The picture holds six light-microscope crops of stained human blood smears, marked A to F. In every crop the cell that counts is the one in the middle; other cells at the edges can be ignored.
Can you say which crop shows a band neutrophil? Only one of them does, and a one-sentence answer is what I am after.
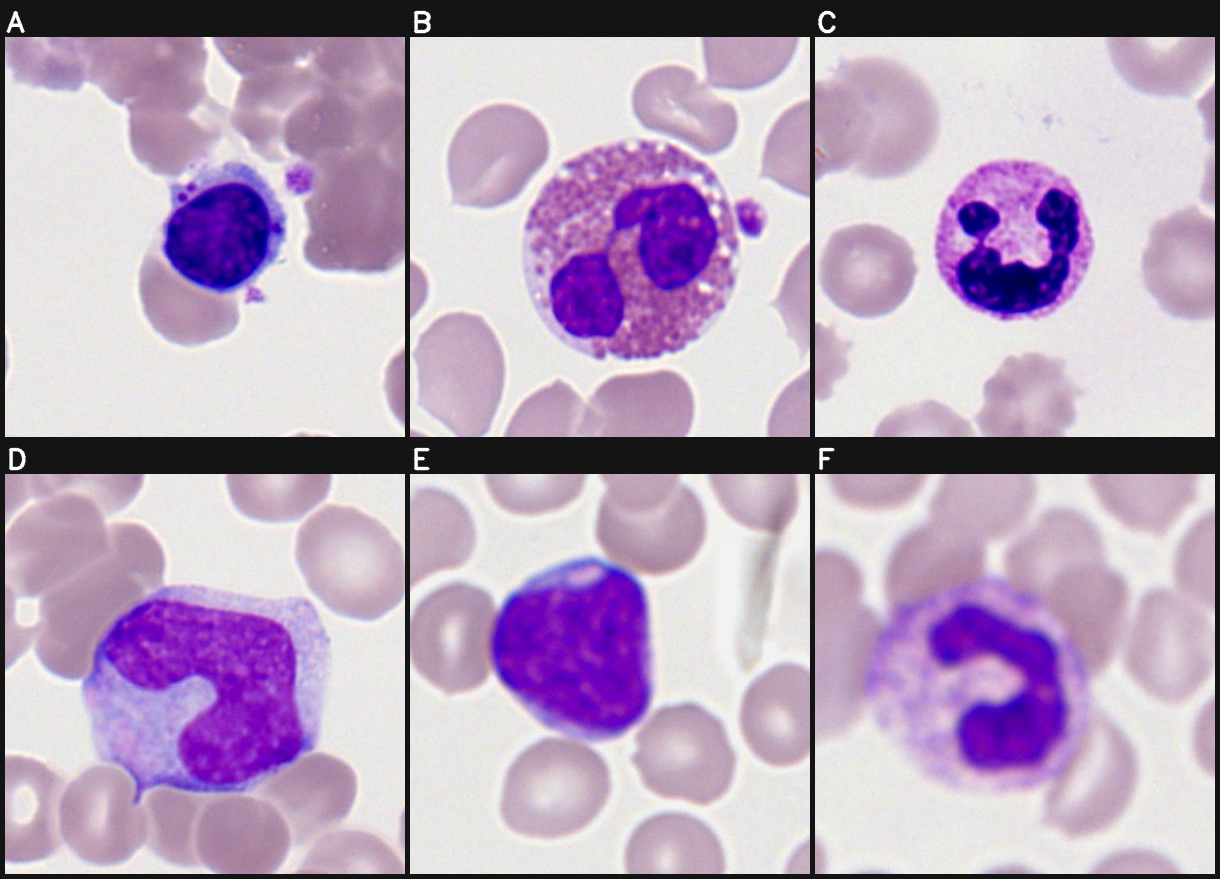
Crop F shows a band neutrophil, and no other crop does.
